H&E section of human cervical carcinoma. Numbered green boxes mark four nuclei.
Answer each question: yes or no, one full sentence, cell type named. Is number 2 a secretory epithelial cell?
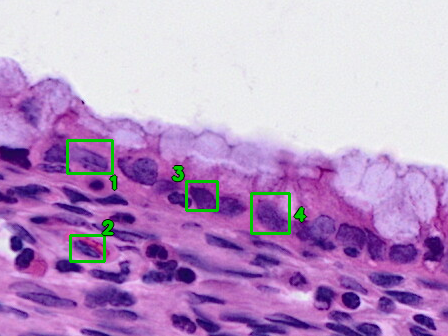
No, the cell at marker 2 is not a secretory epithelial cell; it is an endothelial cell.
